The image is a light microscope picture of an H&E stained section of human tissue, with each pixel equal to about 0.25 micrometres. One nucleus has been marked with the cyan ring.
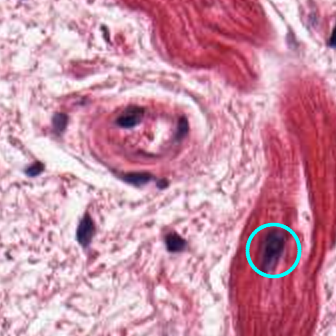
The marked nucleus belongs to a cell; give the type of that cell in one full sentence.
The nucleus carrying the mark is the nucleus of a cardiomyocyte.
